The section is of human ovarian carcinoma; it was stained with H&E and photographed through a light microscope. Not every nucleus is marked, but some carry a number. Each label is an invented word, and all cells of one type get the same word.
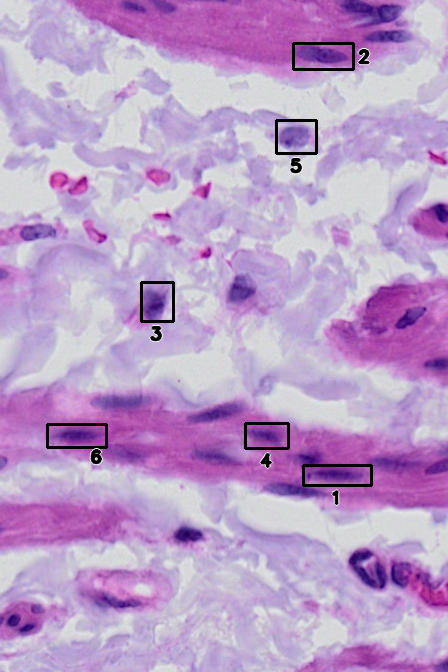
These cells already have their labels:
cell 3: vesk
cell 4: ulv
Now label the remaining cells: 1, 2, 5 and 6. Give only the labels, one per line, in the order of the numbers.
ulv
ulv
vesk
ulv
